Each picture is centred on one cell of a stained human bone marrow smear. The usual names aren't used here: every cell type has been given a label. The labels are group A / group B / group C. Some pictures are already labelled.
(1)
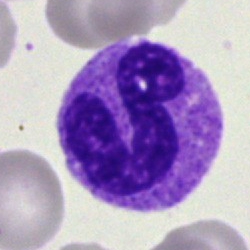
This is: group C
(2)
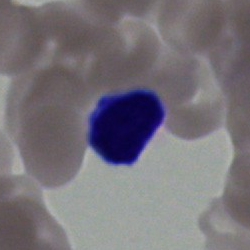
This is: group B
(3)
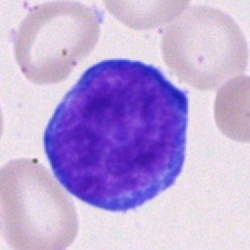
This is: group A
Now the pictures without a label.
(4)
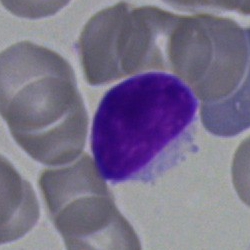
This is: group B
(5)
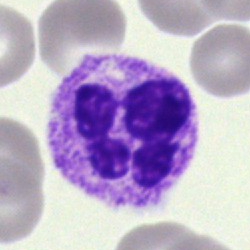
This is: group C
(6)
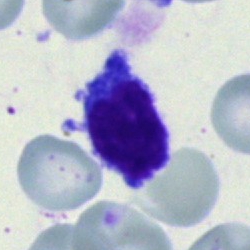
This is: group B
